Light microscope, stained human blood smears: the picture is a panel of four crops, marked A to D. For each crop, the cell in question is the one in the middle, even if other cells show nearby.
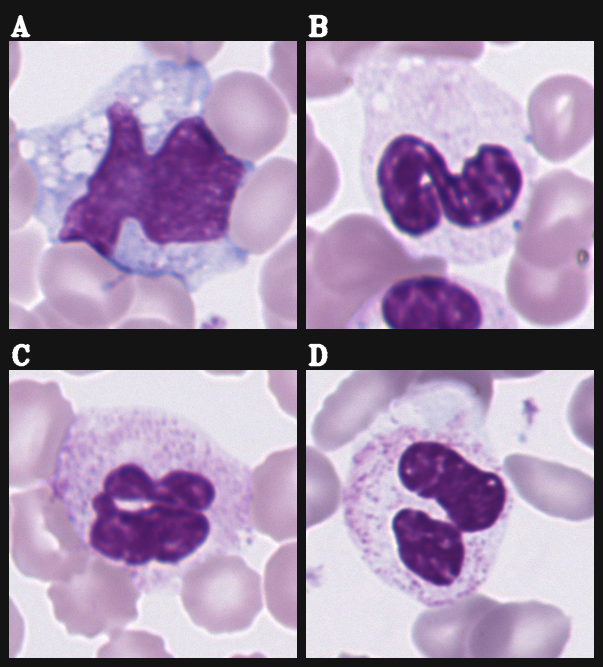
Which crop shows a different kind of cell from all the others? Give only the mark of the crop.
A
